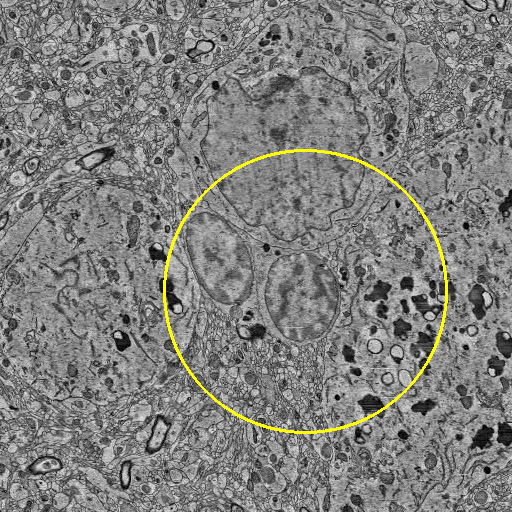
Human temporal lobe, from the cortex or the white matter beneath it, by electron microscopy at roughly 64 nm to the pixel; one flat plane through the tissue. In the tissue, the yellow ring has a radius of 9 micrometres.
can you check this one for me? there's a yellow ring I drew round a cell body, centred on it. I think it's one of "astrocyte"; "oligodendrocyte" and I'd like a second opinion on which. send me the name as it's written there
oligodendrocyte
